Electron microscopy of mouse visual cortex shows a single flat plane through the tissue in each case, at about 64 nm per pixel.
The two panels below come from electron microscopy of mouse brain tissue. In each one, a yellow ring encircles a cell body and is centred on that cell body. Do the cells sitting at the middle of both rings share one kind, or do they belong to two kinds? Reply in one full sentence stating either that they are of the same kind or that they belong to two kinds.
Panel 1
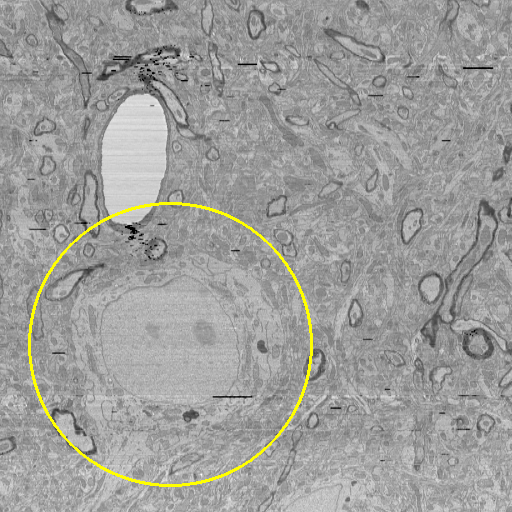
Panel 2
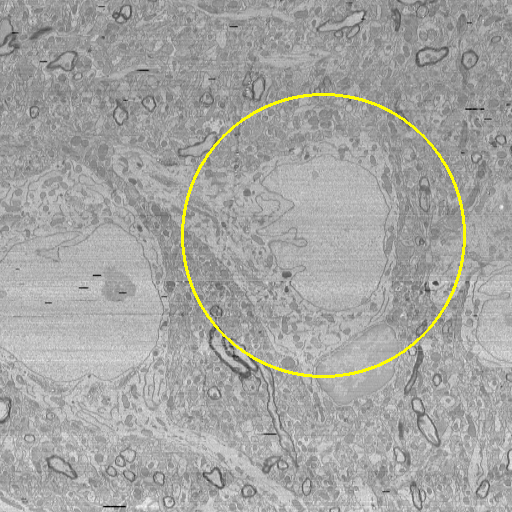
The cells at the centres of the two rings are of the same kind.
